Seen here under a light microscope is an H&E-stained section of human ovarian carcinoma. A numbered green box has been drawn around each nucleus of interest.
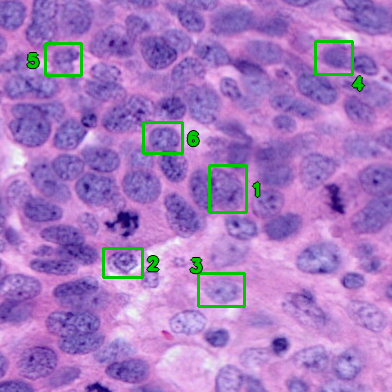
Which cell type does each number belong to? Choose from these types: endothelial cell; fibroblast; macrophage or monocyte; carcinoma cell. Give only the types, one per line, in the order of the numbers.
carcinoma cell
macrophage or monocyte
fibroblast
carcinoma cell
macrophage or monocyte
carcinoma cell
